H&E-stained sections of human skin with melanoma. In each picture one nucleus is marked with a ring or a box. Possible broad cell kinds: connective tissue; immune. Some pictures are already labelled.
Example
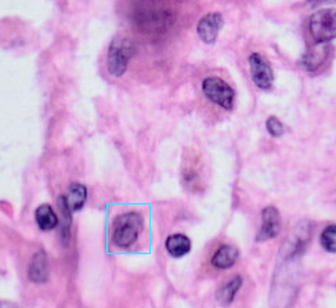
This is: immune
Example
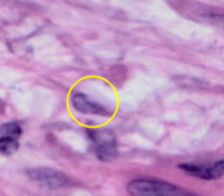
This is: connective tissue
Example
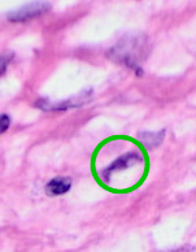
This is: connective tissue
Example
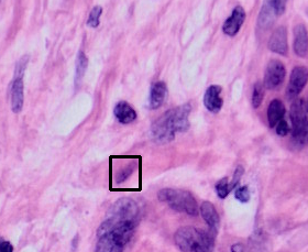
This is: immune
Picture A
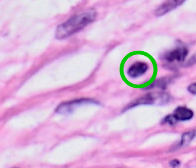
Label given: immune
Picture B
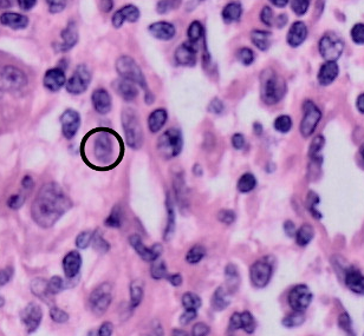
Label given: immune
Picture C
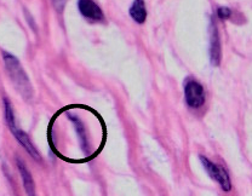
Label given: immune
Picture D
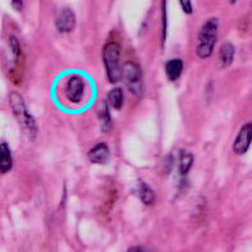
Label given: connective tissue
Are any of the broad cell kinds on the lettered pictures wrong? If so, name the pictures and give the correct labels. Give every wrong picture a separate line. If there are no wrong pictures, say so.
C is labelled immune; correct label: connective tissue
D is labelled connective tissue; correct label: immune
